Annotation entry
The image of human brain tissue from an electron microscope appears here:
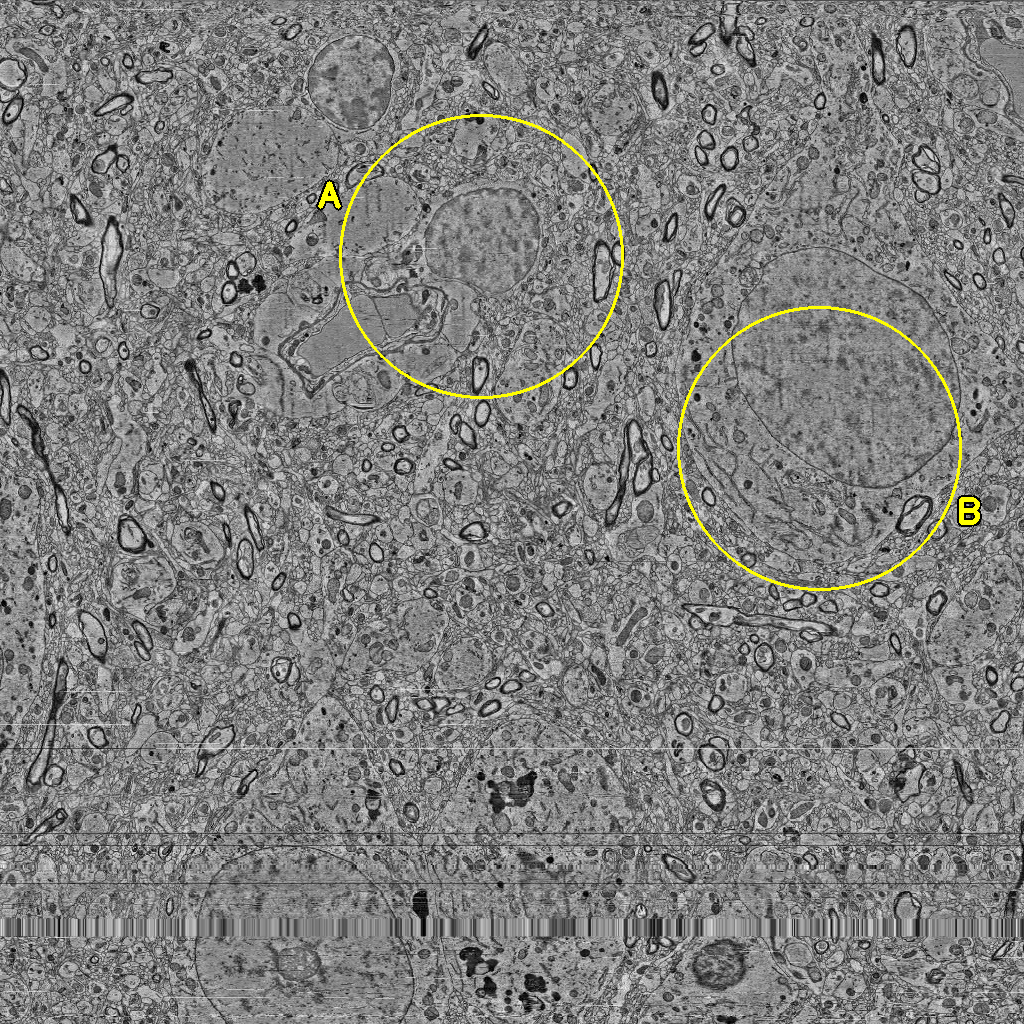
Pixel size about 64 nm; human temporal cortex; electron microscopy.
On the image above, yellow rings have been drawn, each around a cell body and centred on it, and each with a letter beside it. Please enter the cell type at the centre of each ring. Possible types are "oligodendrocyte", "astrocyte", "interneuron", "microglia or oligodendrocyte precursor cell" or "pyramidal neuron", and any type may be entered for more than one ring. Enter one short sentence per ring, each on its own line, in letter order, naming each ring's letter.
The cell that ring A is centred on is an oligodendrocyte.
The cell that ring B is centred on is a pyramidal neuron.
